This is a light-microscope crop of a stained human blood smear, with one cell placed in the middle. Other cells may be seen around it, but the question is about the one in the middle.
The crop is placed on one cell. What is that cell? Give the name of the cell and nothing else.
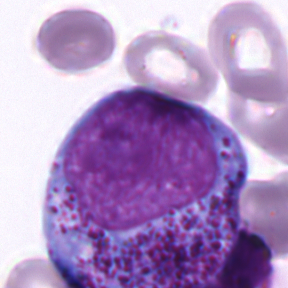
promyelocyte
